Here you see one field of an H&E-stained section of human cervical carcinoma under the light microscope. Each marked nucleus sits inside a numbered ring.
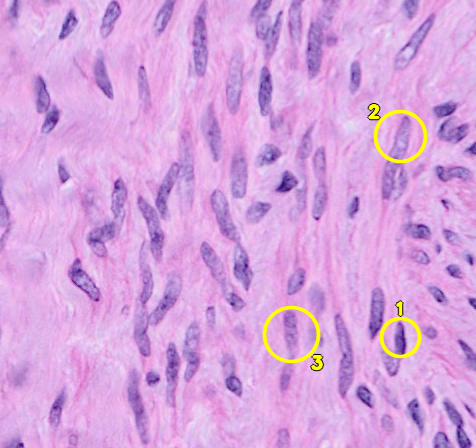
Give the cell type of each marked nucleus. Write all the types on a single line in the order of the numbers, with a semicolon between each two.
fibroblast; smooth muscle cell; smooth muscle cell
